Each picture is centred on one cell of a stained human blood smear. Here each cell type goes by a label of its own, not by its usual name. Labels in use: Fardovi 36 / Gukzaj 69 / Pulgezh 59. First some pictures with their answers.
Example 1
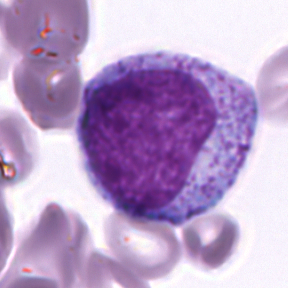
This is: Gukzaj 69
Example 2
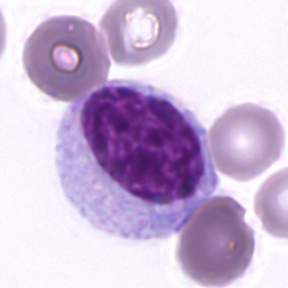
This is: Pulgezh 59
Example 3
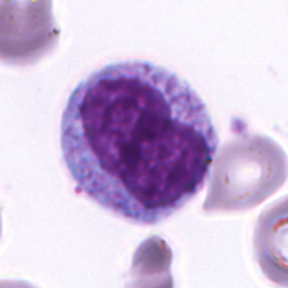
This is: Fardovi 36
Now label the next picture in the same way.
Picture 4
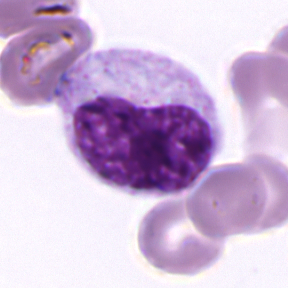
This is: Fardovi 36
